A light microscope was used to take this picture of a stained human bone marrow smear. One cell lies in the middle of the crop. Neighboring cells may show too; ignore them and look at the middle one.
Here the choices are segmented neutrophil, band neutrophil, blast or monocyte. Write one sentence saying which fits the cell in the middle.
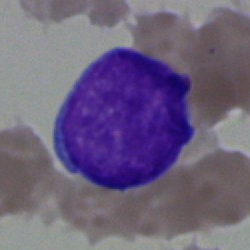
The cell centred in this crop is categorized as a blast.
